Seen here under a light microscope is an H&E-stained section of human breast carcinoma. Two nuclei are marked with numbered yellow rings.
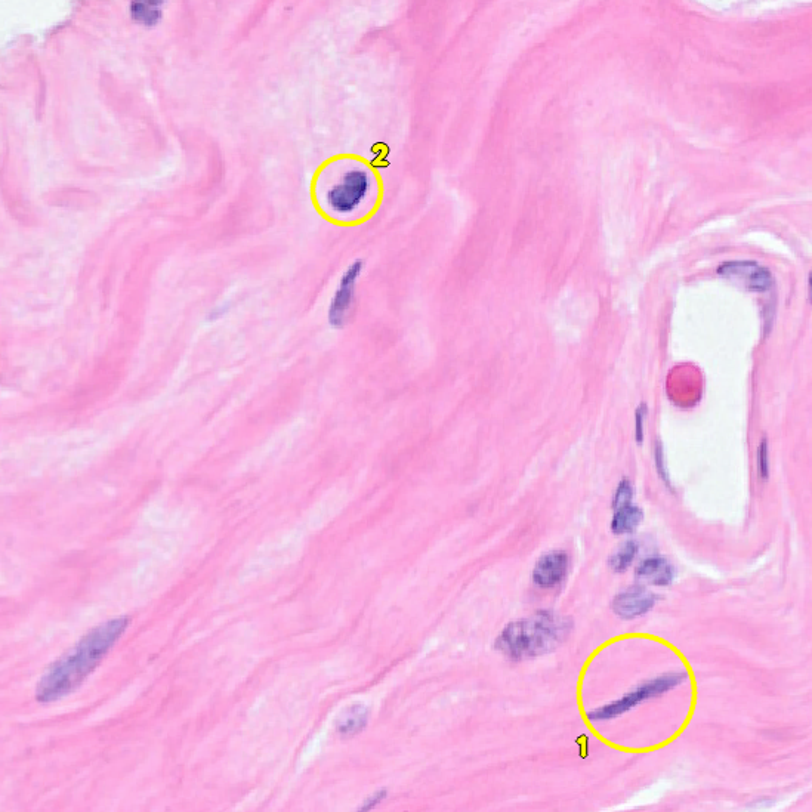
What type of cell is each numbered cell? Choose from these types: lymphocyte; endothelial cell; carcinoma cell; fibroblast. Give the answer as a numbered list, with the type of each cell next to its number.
1. fibroblast
2. lymphocyte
